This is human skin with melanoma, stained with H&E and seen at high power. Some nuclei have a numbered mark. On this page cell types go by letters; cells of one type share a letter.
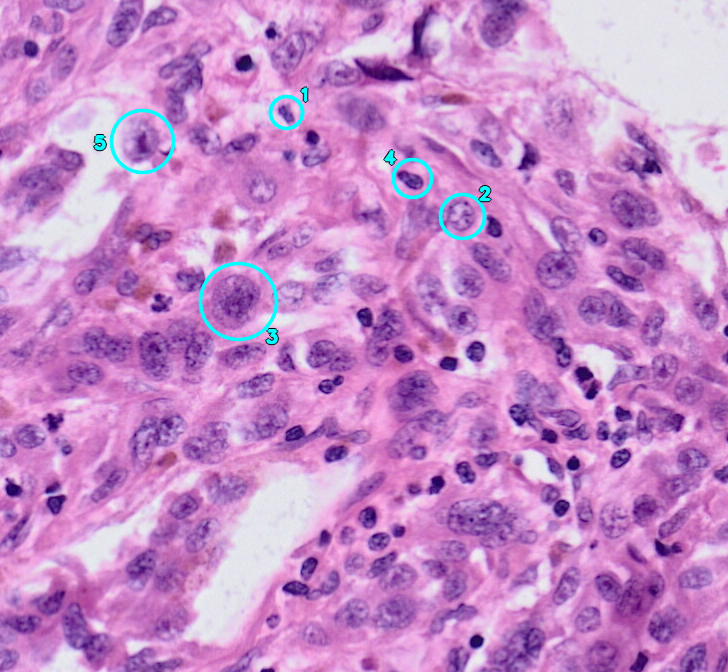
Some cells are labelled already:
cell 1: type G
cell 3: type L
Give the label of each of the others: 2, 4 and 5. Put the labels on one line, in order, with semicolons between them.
type L; type G; type L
